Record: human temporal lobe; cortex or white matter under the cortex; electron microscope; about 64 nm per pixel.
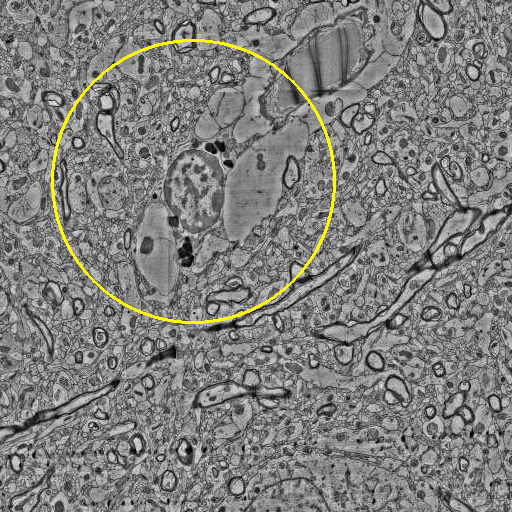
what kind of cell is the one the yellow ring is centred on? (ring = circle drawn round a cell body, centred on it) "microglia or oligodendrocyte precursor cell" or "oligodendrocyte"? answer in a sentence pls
The ring is drawn around a microglial cell or oligodendrocyte precursor cell.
